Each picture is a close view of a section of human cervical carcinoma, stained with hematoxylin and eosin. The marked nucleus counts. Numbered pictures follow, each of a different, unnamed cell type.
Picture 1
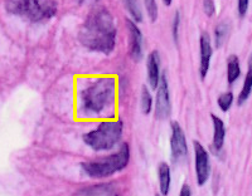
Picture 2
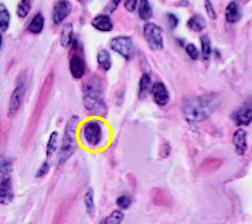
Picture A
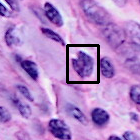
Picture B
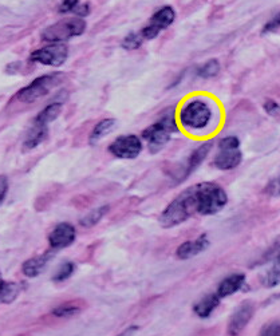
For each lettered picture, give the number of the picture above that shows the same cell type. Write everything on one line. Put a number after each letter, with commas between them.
A 2, B 2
